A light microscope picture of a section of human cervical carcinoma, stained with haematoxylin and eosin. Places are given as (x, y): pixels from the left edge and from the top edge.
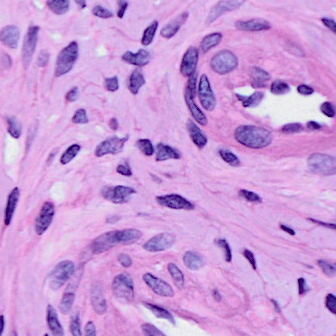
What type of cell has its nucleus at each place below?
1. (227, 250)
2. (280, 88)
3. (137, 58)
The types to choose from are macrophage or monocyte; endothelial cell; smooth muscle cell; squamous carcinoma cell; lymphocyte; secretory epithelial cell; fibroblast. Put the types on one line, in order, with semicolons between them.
fibroblast; endothelial cell; fibroblast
